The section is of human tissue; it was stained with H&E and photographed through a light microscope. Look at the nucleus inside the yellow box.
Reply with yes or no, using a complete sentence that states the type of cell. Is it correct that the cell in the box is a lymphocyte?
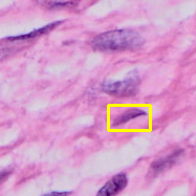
No, the cell in the box corresponds to a fibroblast or myofibroblast rather than to a lymphocyte.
